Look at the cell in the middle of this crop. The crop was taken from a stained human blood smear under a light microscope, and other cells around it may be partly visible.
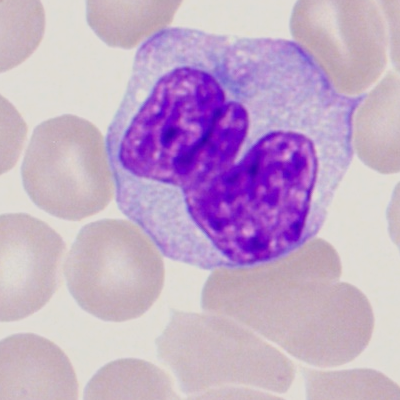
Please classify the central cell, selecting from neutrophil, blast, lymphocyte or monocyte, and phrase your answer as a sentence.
The cell positioned in the middle of the field is a monocyte.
